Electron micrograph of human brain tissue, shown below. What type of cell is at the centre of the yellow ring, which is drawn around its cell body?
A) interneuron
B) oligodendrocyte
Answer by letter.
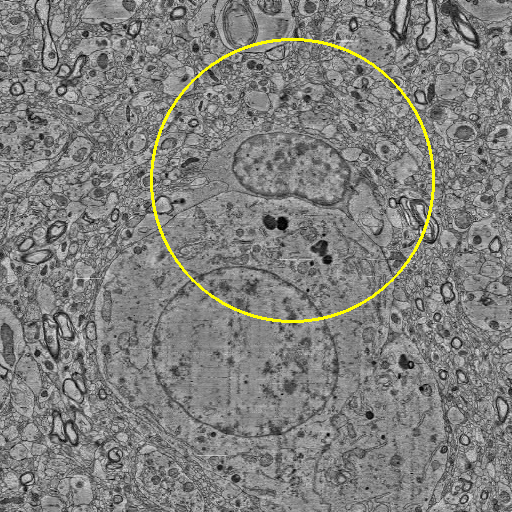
B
